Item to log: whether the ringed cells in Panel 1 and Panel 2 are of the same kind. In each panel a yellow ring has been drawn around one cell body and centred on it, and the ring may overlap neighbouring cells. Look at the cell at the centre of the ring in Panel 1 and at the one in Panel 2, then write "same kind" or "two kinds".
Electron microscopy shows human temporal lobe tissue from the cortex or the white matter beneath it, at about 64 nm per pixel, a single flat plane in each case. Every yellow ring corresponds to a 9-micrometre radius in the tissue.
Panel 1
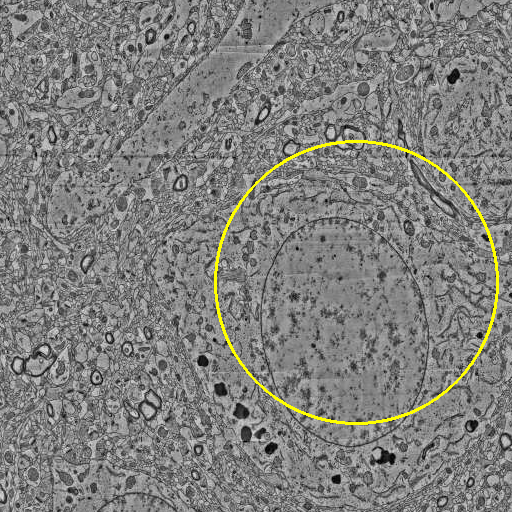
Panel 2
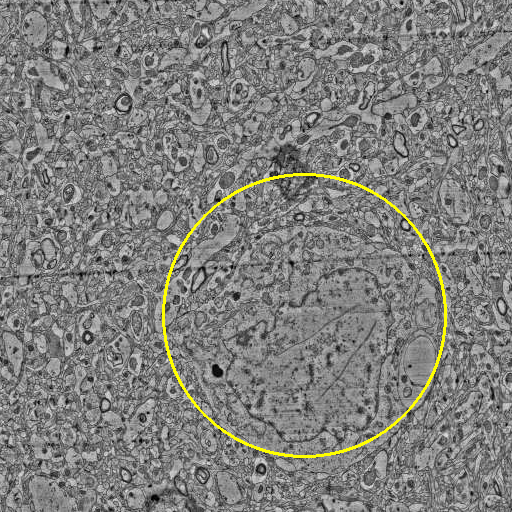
two kinds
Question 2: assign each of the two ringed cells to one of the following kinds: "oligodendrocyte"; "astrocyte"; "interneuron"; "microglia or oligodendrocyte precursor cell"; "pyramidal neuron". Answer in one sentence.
The two cells are a pyramidal neuron in the first picture and an interneuron in the second.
